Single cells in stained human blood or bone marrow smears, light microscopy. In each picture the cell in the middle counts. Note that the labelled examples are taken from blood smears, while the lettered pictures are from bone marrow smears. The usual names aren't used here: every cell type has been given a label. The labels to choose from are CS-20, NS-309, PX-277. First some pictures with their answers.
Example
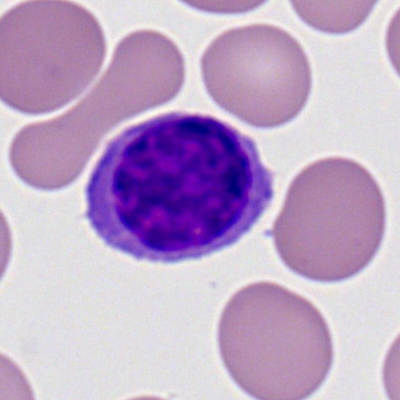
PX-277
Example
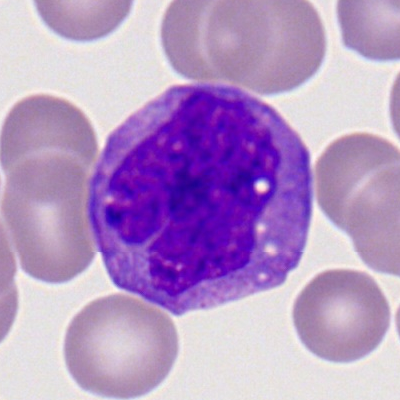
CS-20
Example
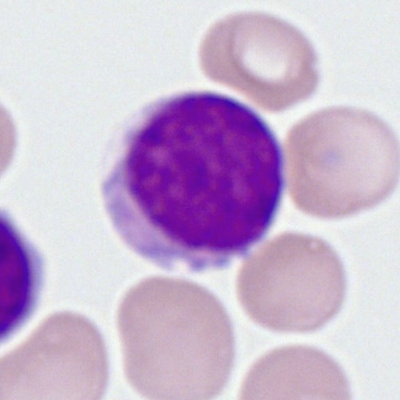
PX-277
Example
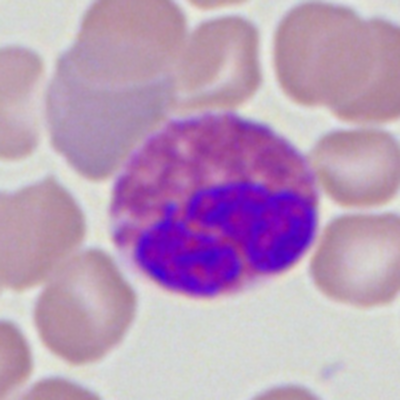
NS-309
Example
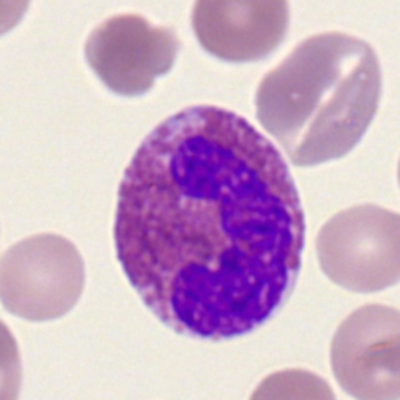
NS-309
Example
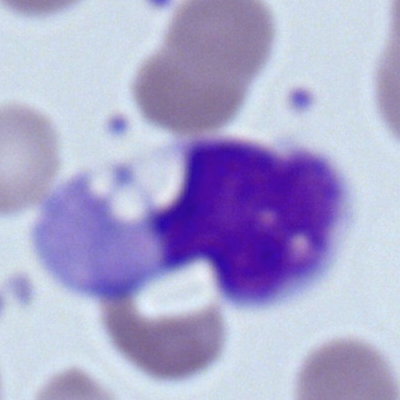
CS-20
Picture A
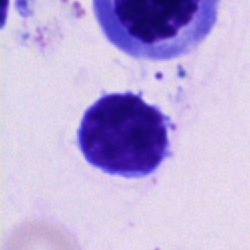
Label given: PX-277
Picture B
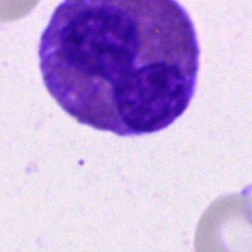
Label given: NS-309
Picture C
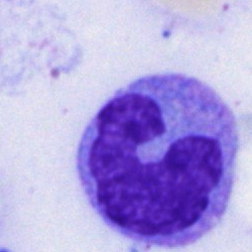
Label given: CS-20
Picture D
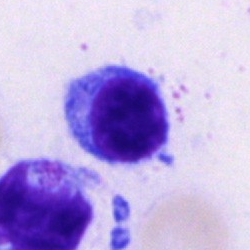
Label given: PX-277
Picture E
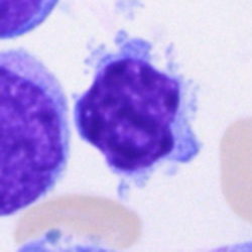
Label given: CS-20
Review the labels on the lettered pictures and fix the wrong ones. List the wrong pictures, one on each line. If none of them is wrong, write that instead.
Wrong: E (CS-20); correct: PX-277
